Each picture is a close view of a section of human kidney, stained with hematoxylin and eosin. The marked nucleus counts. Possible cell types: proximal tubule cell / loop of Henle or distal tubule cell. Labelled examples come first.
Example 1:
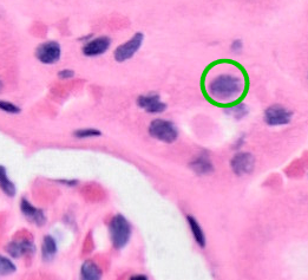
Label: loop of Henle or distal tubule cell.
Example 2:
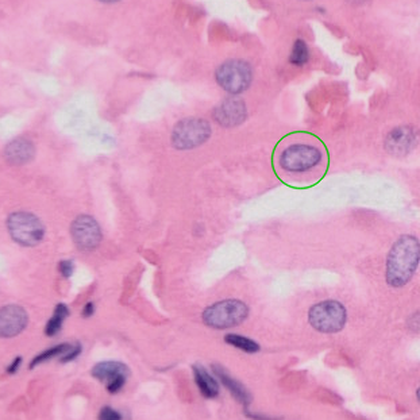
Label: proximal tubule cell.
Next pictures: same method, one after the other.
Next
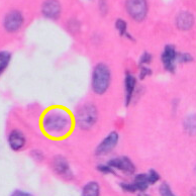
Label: loop of Henle or distal tubule cell.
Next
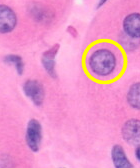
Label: proximal tubule cell.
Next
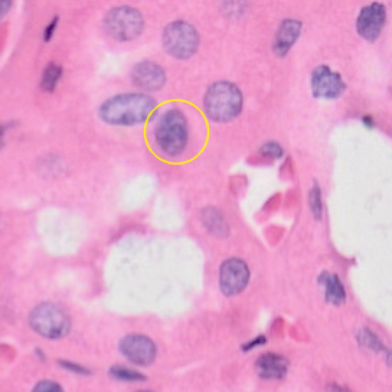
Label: proximal tubule cell.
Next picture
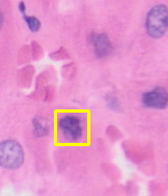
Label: proximal tubule cell.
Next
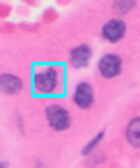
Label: loop of Henle or distal tubule cell.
